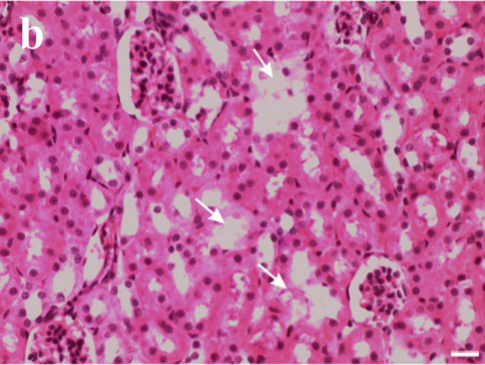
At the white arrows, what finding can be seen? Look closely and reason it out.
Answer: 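The arrows point to pale, washed-out areas among the tubules. In these areas the epithelial lining is indistinct and the lumens look widened and empty.
Hence: tubule degeneration.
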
